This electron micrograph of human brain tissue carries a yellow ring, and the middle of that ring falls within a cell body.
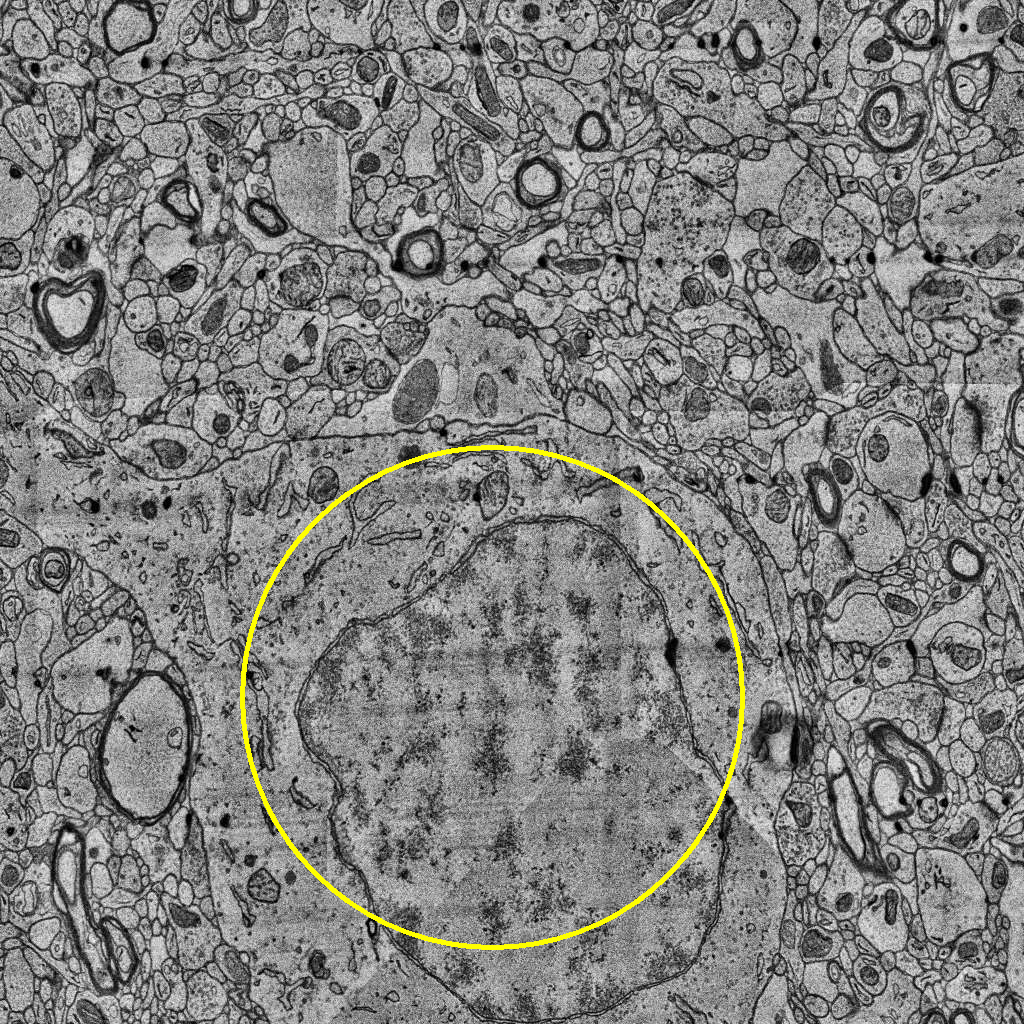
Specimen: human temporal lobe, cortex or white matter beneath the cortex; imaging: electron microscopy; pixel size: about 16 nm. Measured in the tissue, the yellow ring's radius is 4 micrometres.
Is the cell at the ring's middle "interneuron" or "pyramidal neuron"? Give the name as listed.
pyramidal neuron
